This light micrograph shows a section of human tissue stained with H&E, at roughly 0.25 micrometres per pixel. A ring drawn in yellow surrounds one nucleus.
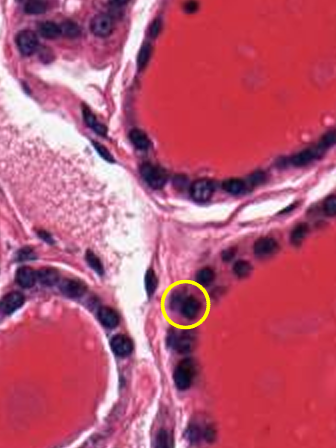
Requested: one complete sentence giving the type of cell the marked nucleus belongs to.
The nucleus marked in the section is that of a thyroid follicular cell.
